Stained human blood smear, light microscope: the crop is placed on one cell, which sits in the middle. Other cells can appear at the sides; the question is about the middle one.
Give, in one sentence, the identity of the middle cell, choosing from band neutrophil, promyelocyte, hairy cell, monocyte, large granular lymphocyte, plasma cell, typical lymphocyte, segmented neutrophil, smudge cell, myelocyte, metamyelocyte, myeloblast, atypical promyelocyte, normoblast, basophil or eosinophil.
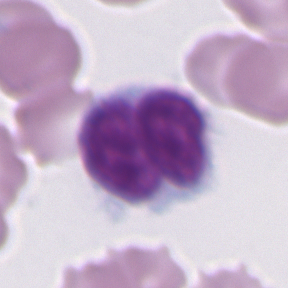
The cell sitting right in the middle is a hairy cell.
